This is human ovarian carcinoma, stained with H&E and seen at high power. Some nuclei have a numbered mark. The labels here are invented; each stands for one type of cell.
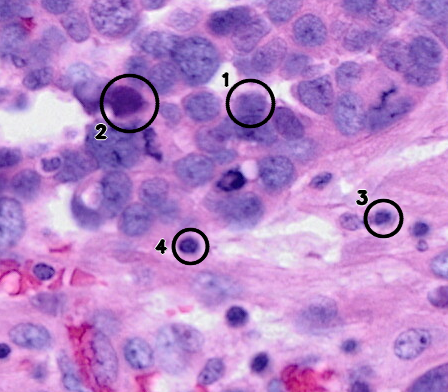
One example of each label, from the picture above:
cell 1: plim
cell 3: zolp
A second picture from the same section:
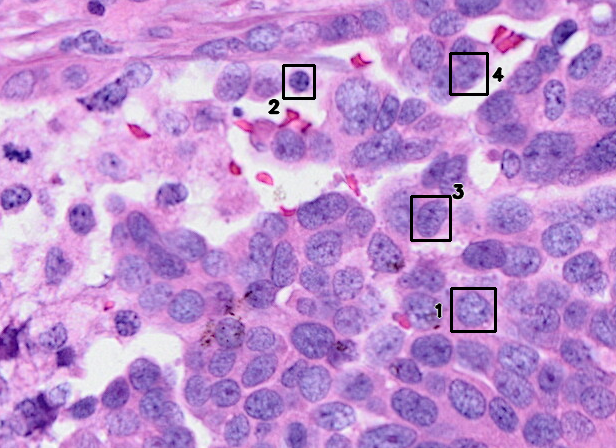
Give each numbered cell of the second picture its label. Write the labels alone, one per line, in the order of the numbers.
plim
zolp
plim
plim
